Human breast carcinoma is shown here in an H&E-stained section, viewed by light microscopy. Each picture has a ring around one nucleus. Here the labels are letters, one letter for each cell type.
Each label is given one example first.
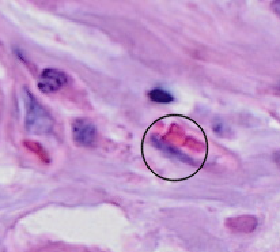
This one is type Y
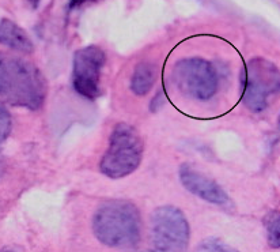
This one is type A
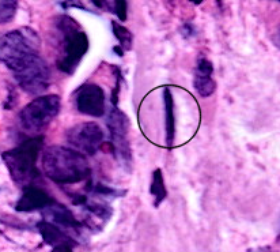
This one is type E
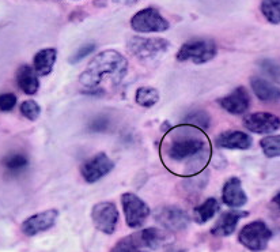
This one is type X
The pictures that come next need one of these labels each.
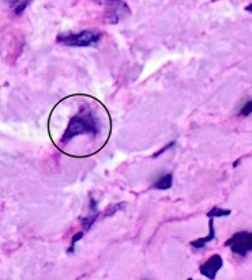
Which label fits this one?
type E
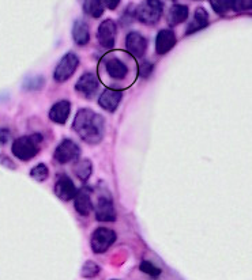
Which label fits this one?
type X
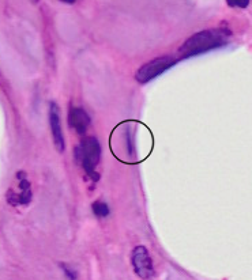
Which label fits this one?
type E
